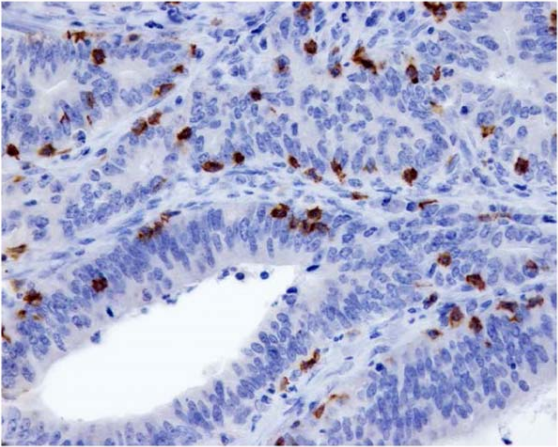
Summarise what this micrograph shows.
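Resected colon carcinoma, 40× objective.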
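The tumour cells have crowded, elongated, oval blue nuclei arranged in stratified layers around glandular spaces, one of which is an open lumen at the lower left. The stained lymphocytes are small cells with brown staining around a small nucleus, clearly smaller than the tumour cells. Many of them lie wedged between the epithelial cells, and others sit in the thin strands of stroma between the glands.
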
